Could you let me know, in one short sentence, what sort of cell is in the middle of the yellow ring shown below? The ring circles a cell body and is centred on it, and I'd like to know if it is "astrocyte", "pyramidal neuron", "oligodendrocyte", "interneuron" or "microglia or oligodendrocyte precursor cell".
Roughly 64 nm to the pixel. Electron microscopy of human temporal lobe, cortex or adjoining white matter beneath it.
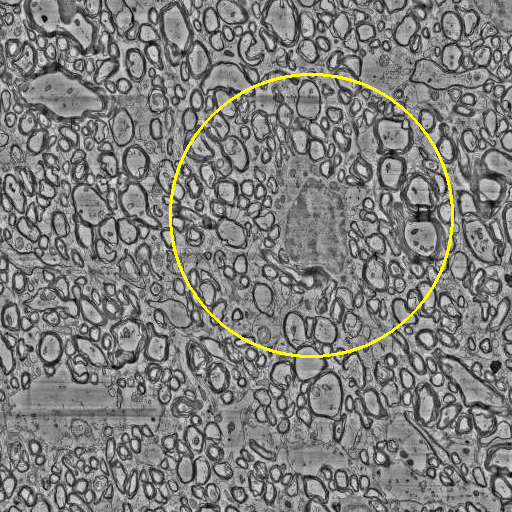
The ring circles the cell body of an oligodendrocyte.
